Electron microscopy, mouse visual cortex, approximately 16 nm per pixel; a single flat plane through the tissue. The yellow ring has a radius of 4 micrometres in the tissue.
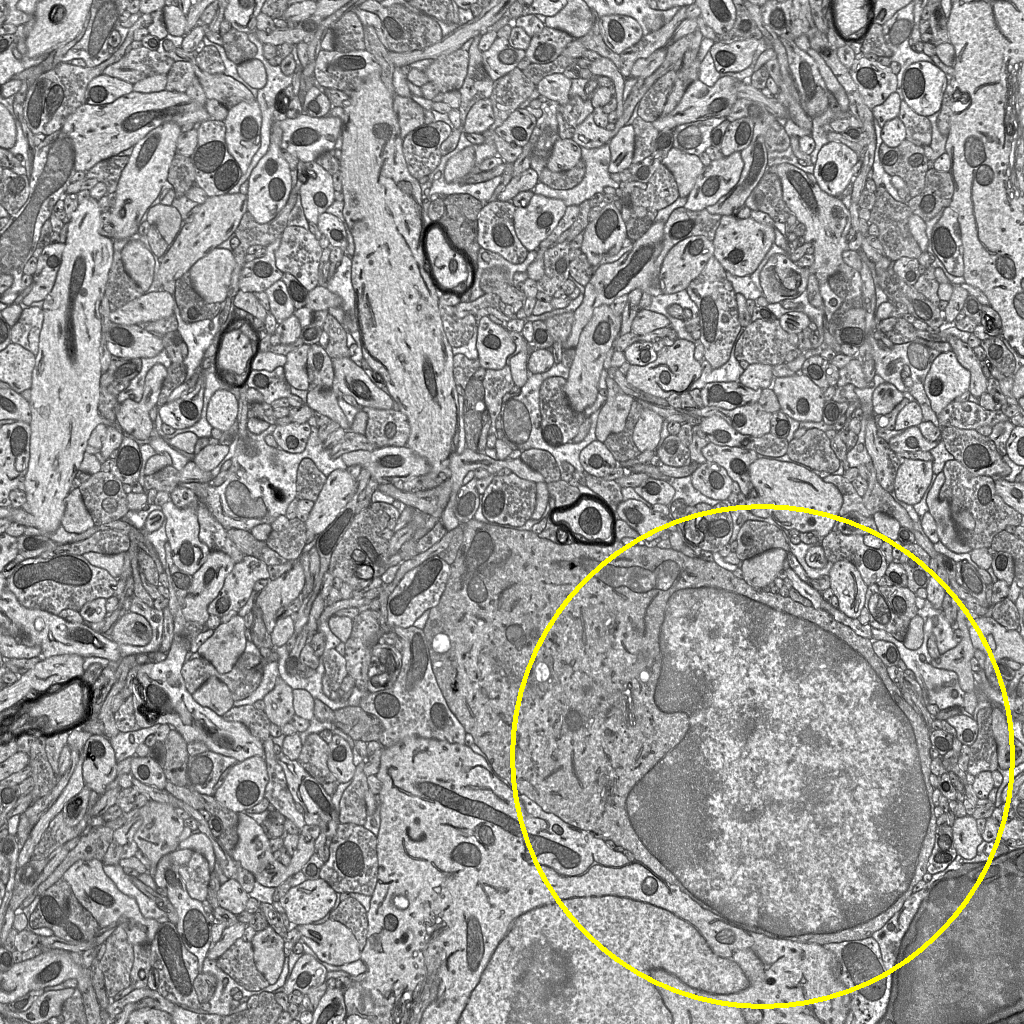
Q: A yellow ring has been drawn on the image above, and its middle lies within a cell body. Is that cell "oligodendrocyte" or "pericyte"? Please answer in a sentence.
The ring's middle lies in the cell body of an oligodendrocyte.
